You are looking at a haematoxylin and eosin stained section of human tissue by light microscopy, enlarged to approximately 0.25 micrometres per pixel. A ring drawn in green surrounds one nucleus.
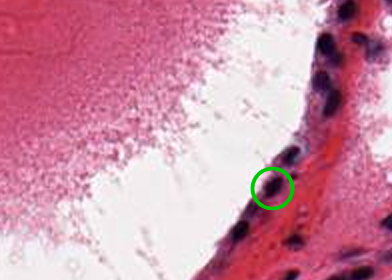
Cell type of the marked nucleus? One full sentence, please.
The nucleus that the mark indicates belongs to a thyroid follicular cell.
